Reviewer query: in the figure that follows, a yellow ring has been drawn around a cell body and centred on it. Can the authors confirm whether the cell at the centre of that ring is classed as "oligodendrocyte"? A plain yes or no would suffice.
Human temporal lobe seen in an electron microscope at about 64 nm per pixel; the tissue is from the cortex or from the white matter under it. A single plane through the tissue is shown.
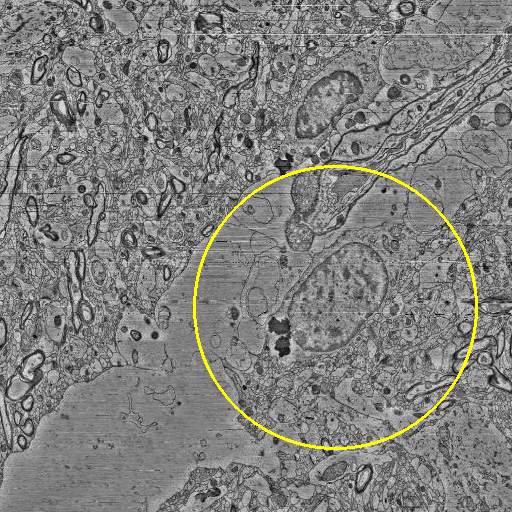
yes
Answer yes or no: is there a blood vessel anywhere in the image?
Yes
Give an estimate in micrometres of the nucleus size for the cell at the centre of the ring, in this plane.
Clearly longer than it is wide in this plane, the nucleus measures roughly 8 by 5 micrometres.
